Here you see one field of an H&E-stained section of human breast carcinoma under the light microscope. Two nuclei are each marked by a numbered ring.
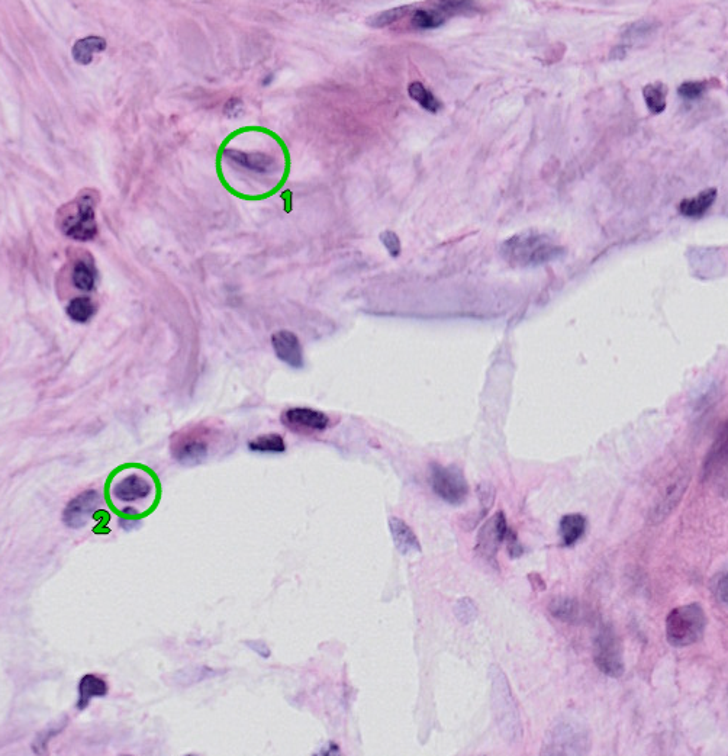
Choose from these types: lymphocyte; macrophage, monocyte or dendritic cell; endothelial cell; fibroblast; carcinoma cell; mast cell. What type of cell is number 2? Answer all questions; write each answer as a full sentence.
The cell that goes by number 2 is a lymphocyte.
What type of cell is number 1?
Here the cell numbered 1 is a fibroblast.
